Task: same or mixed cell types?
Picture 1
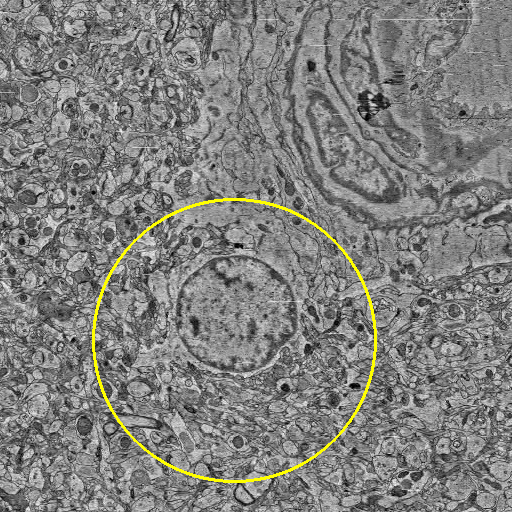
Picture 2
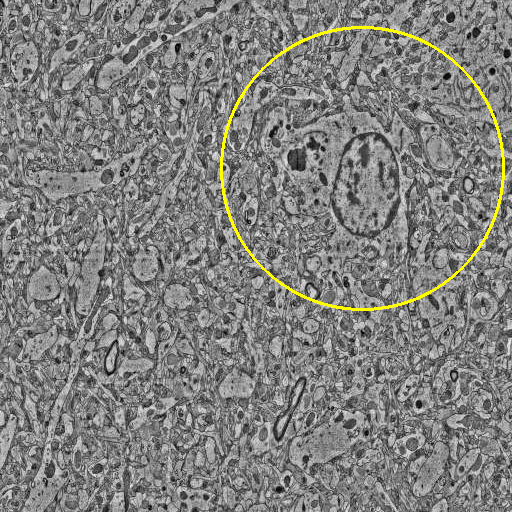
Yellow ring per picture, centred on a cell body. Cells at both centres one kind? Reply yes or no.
yes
